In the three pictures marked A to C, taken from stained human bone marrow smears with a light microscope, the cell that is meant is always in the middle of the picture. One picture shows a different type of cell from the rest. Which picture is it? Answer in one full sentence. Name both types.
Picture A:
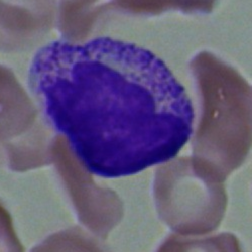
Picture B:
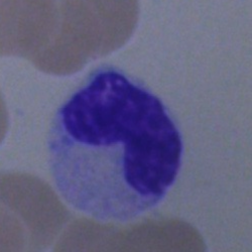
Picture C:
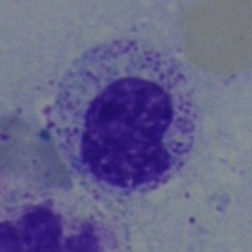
The different one is picture A; it shows a myelocyte, whereas all the others show metamyelocytes.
